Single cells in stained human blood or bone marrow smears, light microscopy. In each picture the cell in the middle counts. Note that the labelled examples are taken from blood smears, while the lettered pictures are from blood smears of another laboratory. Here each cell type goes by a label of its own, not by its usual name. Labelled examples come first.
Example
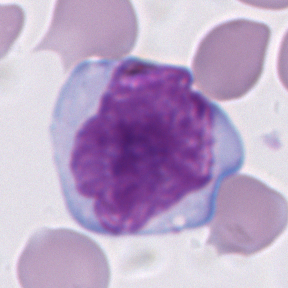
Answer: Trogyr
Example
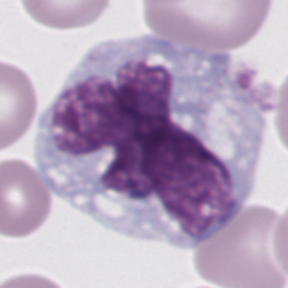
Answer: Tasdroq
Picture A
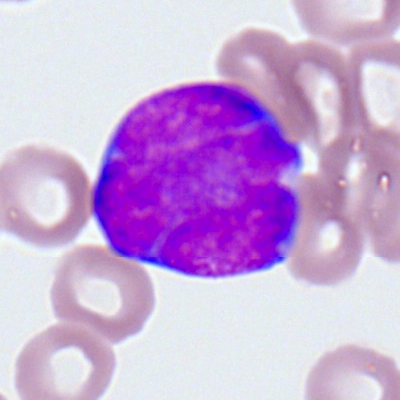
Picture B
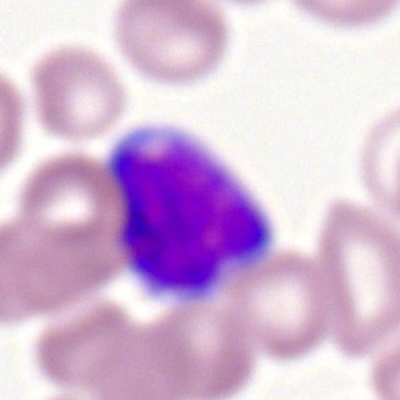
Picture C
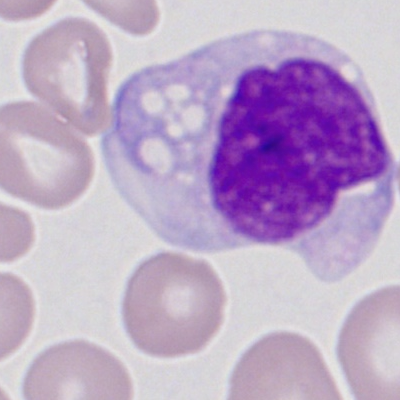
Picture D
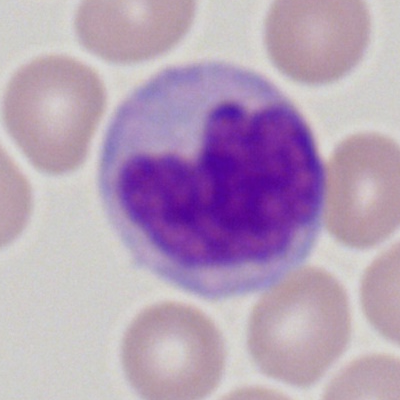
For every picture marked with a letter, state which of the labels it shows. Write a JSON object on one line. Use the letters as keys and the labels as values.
{"A": "Trogyr", "B": "Trogyr", "C": "Tasdroq", "D": "Tasdroq"}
